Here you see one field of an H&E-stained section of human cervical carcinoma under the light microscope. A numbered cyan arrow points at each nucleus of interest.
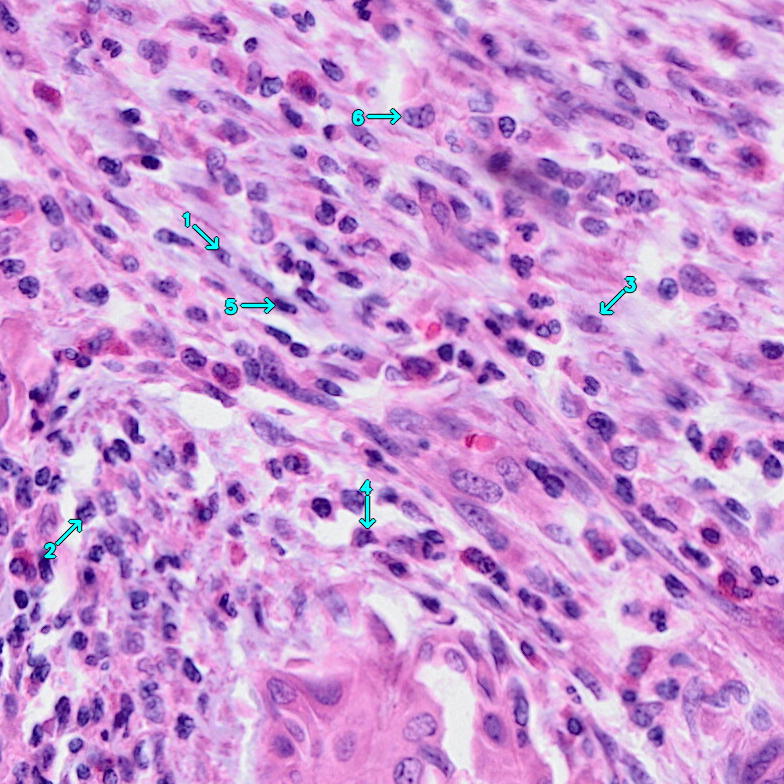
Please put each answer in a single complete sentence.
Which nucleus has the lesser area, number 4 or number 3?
The smaller nucleus is 4, and 3 covers roughly 1.5 times its area.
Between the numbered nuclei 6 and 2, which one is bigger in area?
Nucleus 6 is the larger one, covering about 2 times the area of nucleus 2.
